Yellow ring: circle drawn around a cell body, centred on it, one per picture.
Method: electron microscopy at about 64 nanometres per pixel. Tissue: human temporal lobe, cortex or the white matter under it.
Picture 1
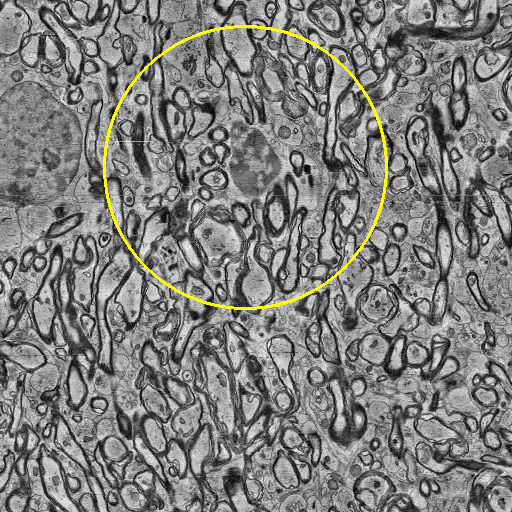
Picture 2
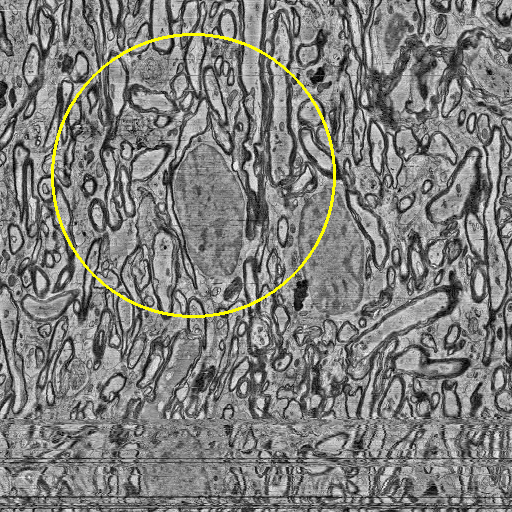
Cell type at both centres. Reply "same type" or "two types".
two types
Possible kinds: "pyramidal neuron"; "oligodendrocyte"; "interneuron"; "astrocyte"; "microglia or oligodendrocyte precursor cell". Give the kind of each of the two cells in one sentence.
The cell in the second picture is an oligodendrocyte, and that in the first is a microglial cell or oligodendrocyte precursor cell.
